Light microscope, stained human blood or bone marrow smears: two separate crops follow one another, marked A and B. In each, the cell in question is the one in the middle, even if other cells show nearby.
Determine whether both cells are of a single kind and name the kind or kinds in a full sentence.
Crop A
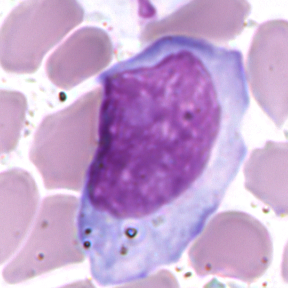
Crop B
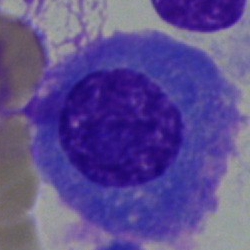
Yes, both the first crop and the second crop show plasma cells.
